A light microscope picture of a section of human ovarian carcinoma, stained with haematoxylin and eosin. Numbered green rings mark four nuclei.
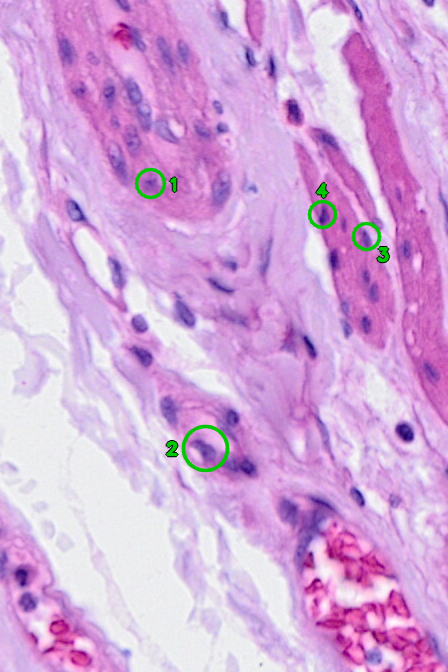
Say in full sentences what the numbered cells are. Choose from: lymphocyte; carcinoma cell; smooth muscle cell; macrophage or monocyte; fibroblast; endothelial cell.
Cells 1, 3 and 4 are smooth muscle cells. Cell 2 is an endothelial cell.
